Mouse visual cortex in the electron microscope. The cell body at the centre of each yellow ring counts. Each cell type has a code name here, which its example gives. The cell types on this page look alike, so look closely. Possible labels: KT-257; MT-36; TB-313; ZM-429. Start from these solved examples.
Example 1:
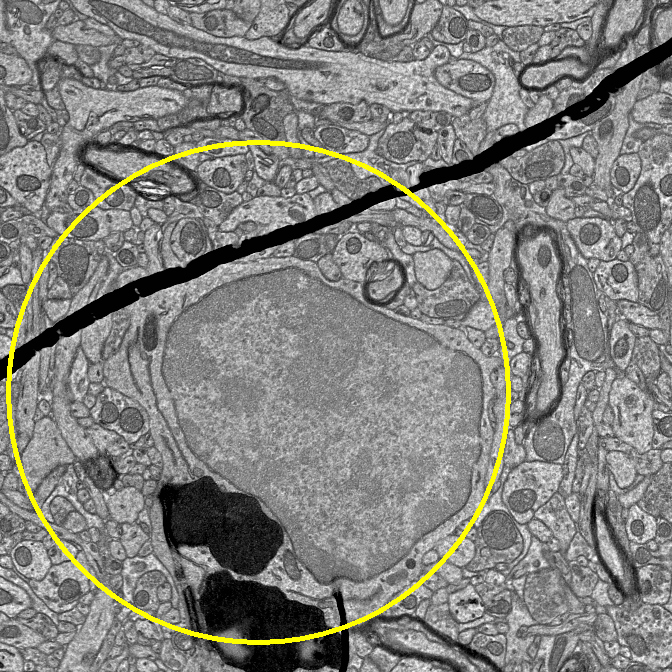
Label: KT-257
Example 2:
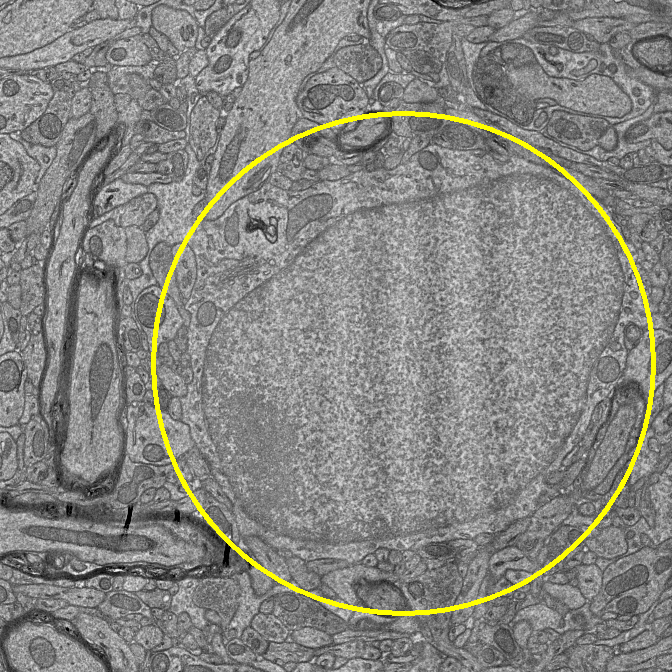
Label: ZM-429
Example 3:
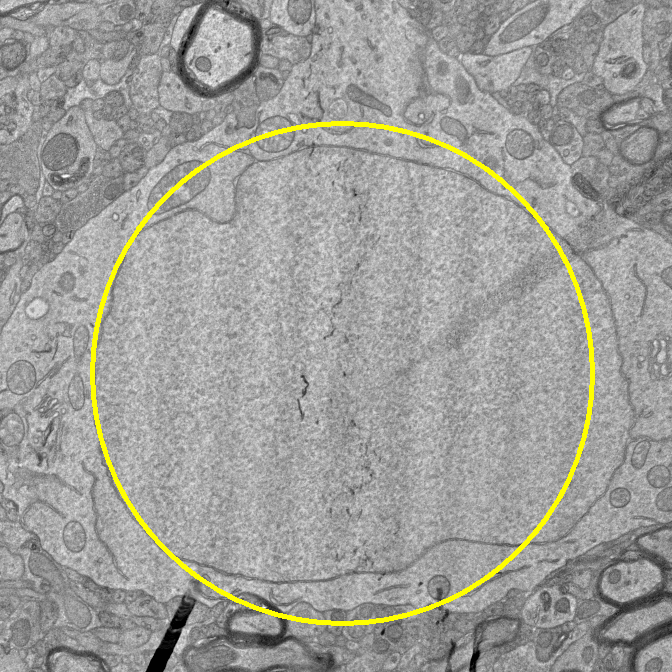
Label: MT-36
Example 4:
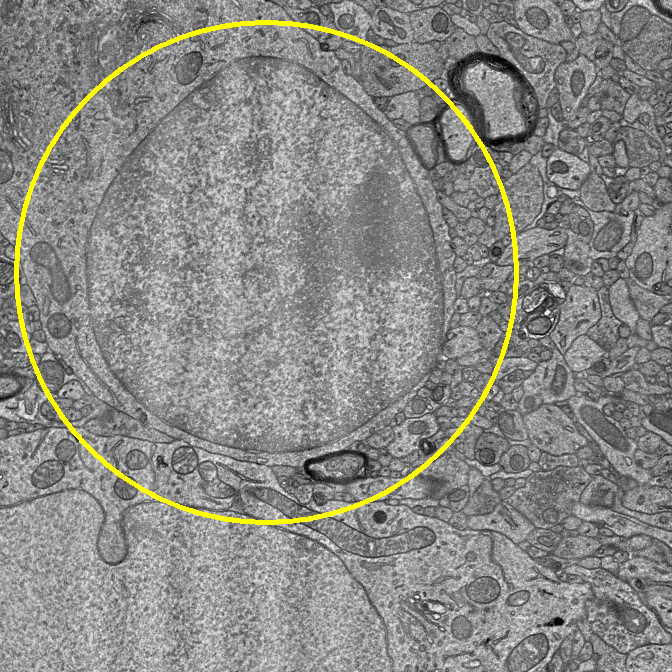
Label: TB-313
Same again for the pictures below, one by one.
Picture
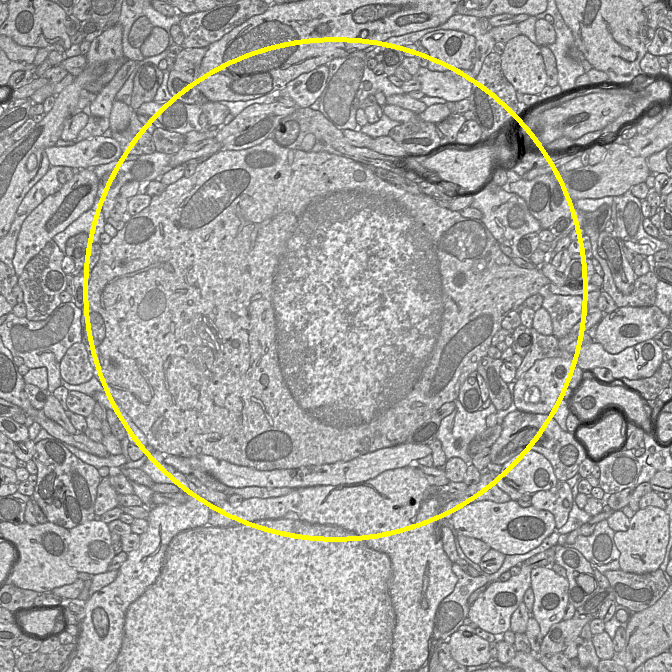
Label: TB-313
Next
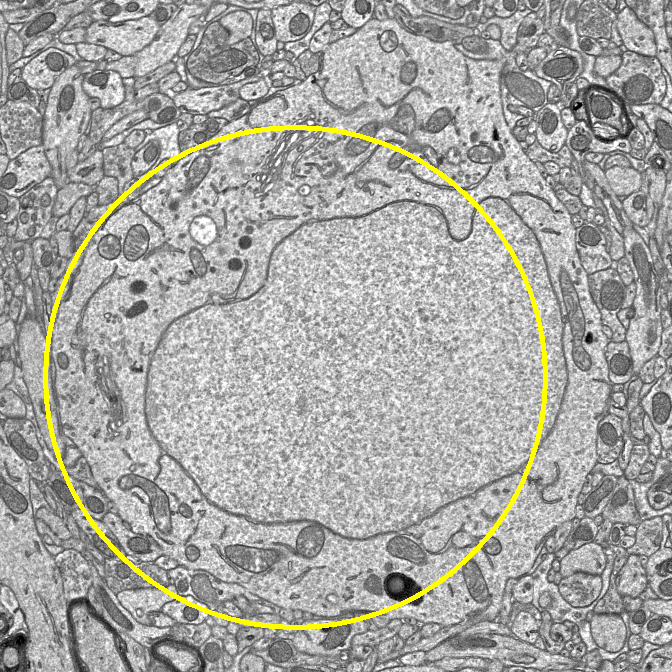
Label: MT-36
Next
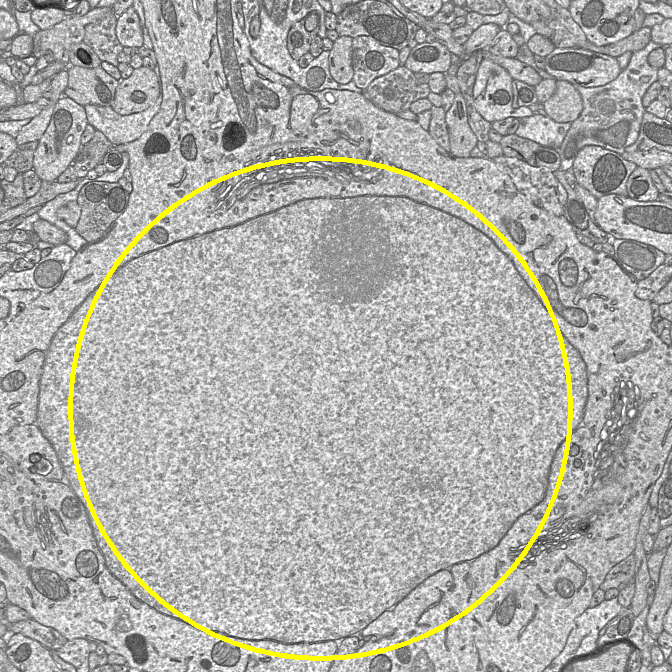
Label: MT-36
